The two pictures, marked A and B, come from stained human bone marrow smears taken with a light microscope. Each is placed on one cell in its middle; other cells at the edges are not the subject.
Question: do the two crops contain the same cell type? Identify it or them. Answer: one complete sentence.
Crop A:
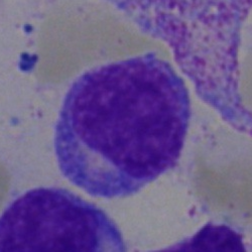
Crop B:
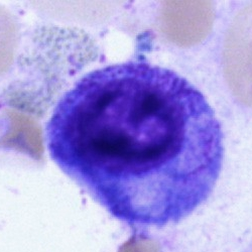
No, crop A is home to a myelocyte, and crop B to a promyelocyte.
